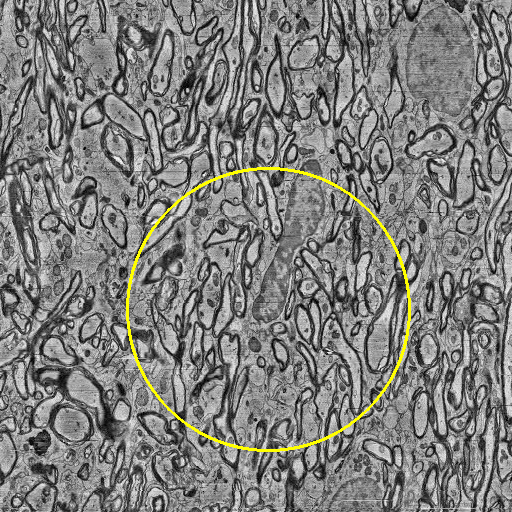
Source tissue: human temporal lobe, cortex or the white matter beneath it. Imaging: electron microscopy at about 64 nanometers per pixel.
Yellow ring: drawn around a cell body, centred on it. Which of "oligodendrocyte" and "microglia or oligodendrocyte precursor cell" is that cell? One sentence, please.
That cell body is from a microglial cell or oligodendrocyte precursor cell.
